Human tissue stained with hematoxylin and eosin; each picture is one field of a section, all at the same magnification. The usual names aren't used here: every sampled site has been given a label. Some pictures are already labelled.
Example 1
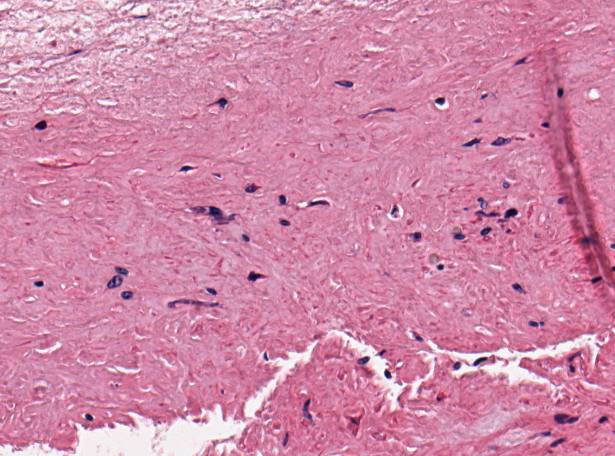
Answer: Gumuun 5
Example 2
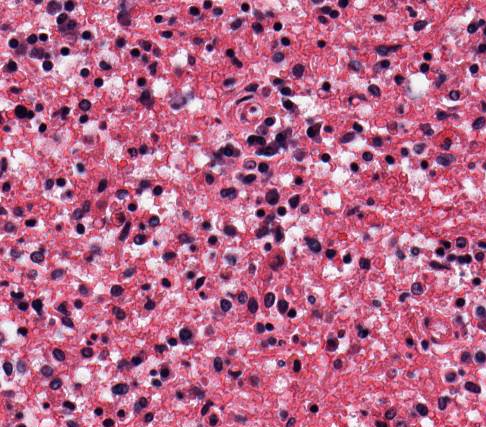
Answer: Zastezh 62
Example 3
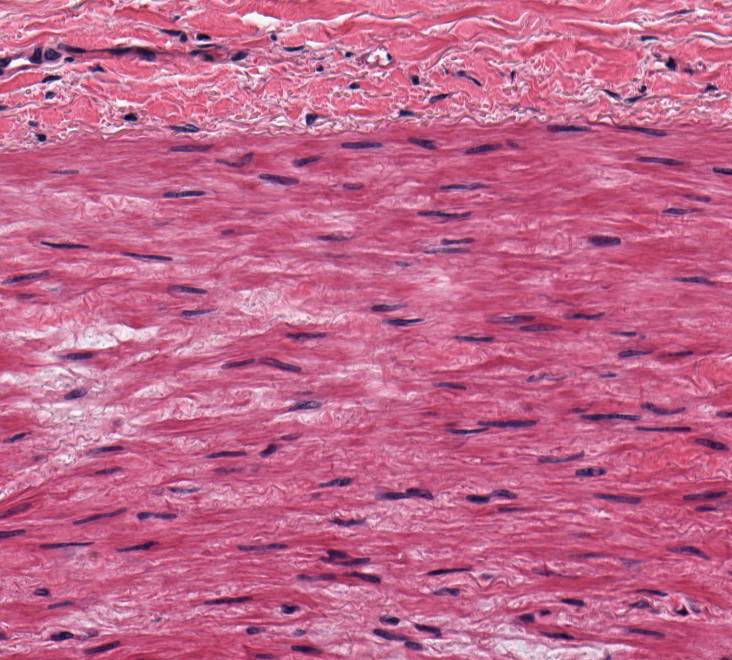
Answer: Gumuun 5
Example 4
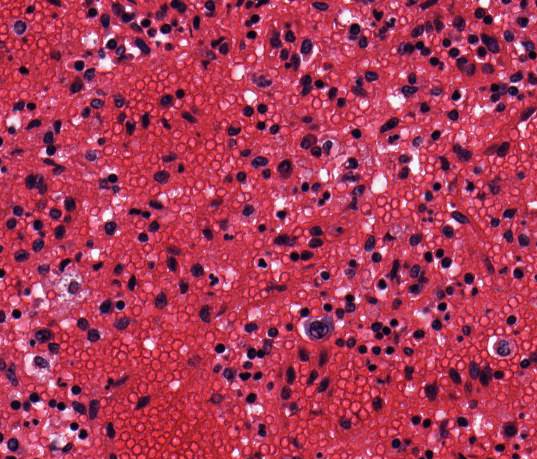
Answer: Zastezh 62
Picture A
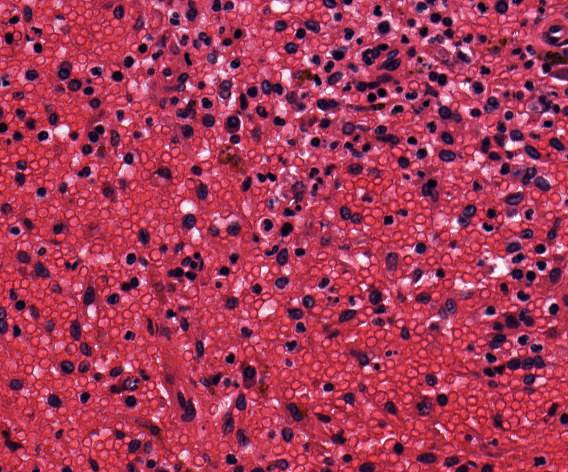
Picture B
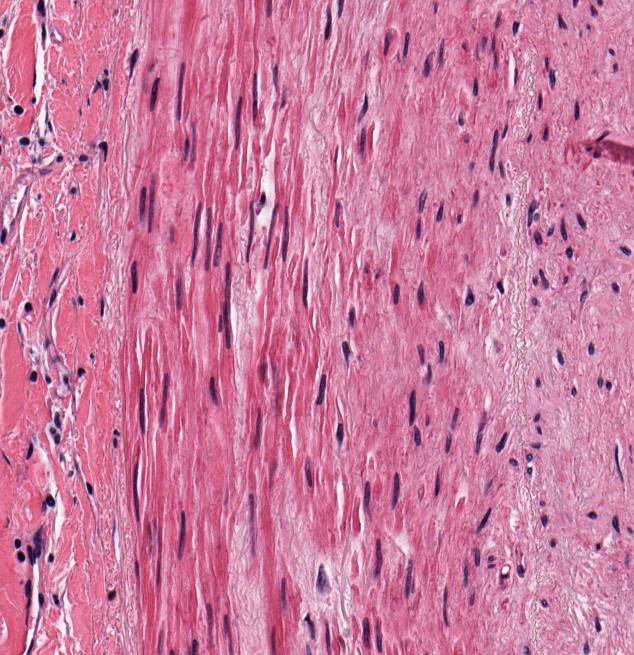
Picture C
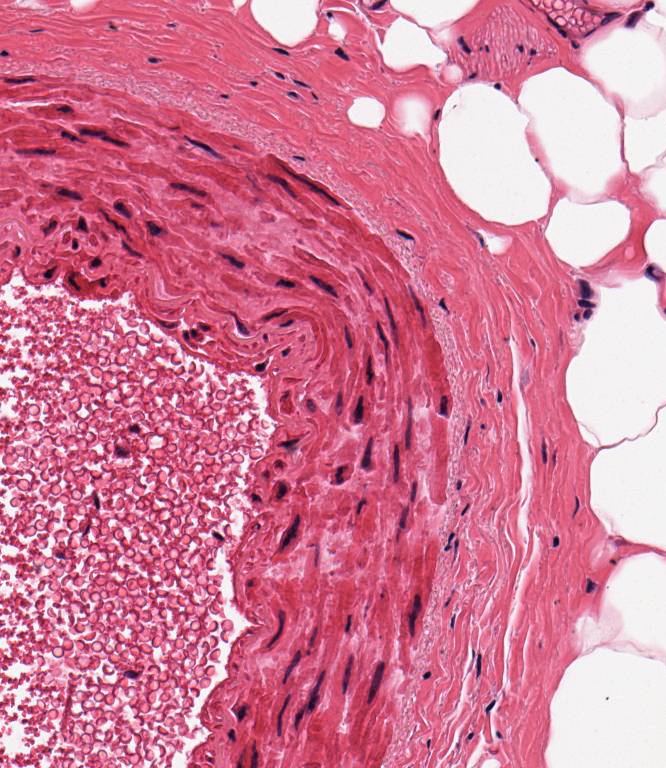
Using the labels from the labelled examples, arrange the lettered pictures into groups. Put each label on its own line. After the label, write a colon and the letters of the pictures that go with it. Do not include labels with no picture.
Gumuun 5: B, C
Zastezh 62: A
